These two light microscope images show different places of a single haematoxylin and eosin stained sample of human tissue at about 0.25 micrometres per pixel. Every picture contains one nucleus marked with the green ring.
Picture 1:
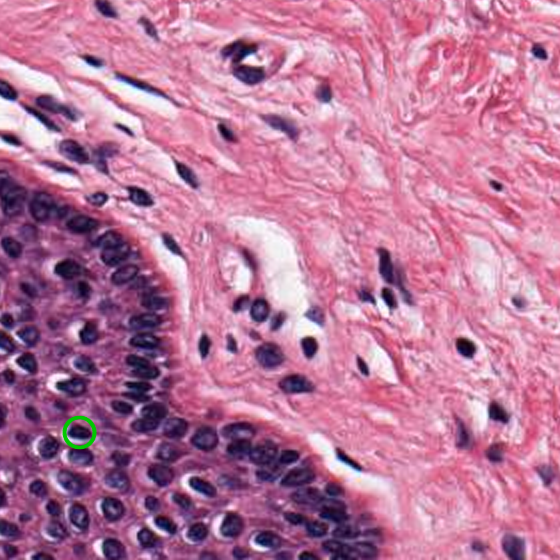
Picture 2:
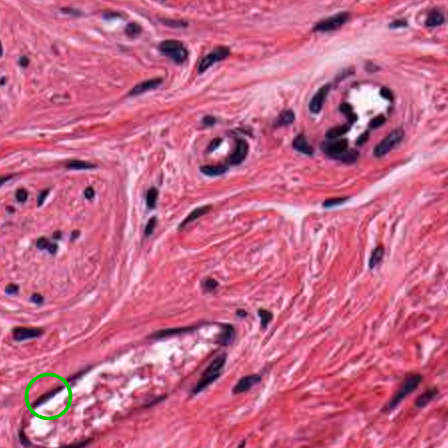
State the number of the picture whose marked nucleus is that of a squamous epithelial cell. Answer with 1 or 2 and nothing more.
1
